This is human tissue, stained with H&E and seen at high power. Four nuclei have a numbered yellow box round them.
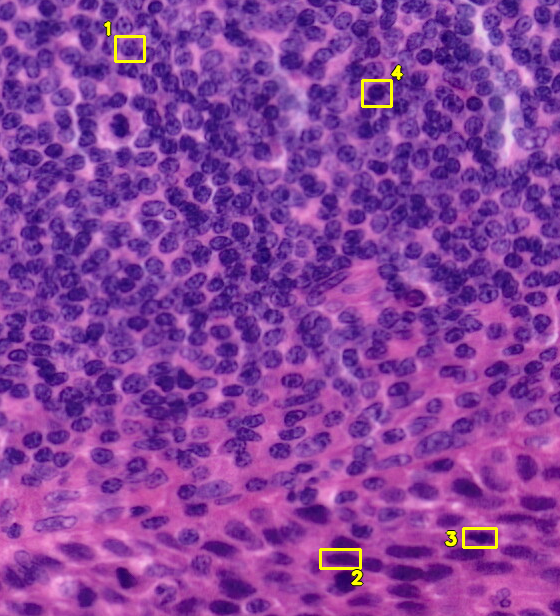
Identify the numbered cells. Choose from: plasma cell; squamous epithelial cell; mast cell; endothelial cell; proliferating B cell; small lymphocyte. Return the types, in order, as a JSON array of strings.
["small lymphocyte", "squamous epithelial cell", "squamous epithelial cell", "small lymphocyte"]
